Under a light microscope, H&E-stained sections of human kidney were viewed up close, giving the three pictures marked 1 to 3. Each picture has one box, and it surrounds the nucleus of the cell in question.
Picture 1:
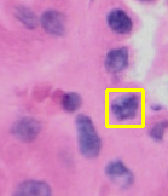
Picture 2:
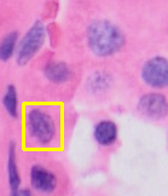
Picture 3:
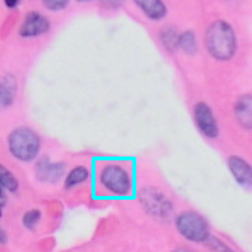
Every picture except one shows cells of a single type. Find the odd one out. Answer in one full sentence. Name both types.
Picture 3 is the odd one out: it shows a collecting duct cell, while the others show “loop of Henle or distal tubule cells”.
